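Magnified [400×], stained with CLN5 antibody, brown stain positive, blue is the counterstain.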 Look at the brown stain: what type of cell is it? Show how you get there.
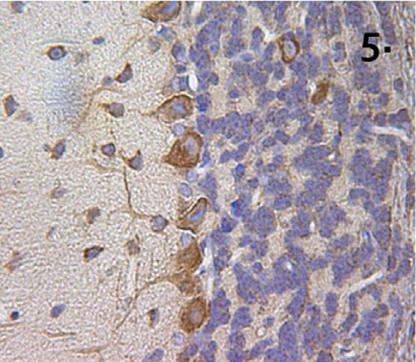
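Large brown-stained cell bodies in a row. Brown processes extend from them into the pale layer. They lie at the edge of a dense layer of small blue nuclei. That points to this answer: Purkinjie cell.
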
